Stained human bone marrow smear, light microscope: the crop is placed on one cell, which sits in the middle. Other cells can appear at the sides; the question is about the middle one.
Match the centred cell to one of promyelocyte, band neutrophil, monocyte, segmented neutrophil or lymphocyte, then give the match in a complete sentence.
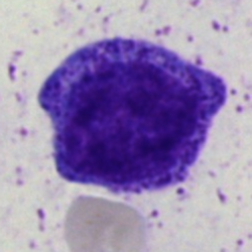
What sits at the centre of this crop is a promyelocyte.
